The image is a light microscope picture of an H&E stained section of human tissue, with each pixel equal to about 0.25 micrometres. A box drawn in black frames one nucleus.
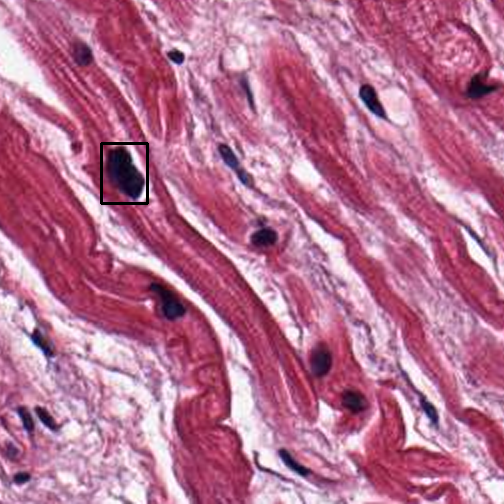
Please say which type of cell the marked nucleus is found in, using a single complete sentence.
The marked nucleus here is the nucleus of a cardiomyocyte.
